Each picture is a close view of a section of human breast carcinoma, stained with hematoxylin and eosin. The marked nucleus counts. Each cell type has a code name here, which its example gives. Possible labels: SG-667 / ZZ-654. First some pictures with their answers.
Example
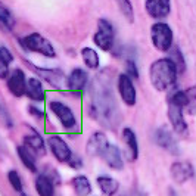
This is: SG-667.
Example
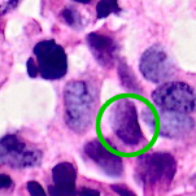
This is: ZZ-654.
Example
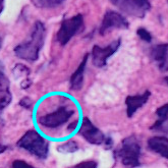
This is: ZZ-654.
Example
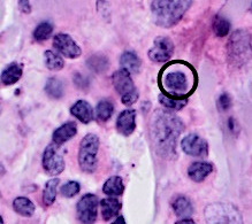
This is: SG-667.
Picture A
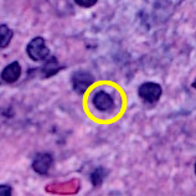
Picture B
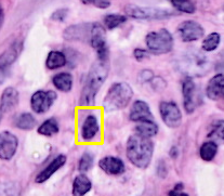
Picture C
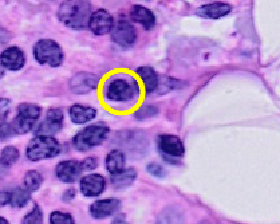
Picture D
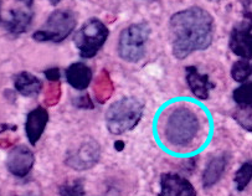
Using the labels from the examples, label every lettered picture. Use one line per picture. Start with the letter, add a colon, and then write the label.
A: SG-667.
B: SG-667.
C: SG-667.
D: ZZ-654.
